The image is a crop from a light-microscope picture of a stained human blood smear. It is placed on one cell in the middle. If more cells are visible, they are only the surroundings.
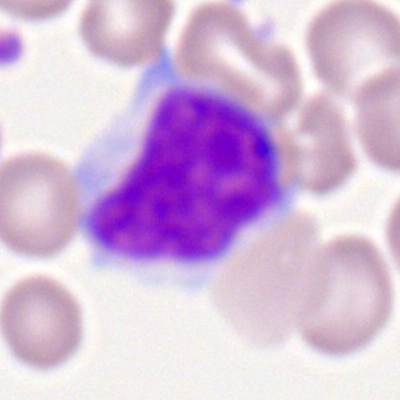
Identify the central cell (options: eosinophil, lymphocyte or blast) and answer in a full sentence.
In the center of this field lies a lymphocyte.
